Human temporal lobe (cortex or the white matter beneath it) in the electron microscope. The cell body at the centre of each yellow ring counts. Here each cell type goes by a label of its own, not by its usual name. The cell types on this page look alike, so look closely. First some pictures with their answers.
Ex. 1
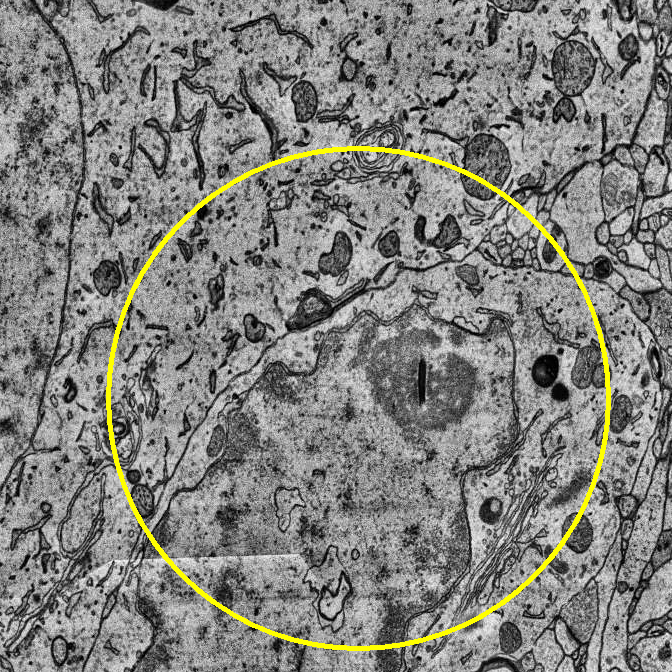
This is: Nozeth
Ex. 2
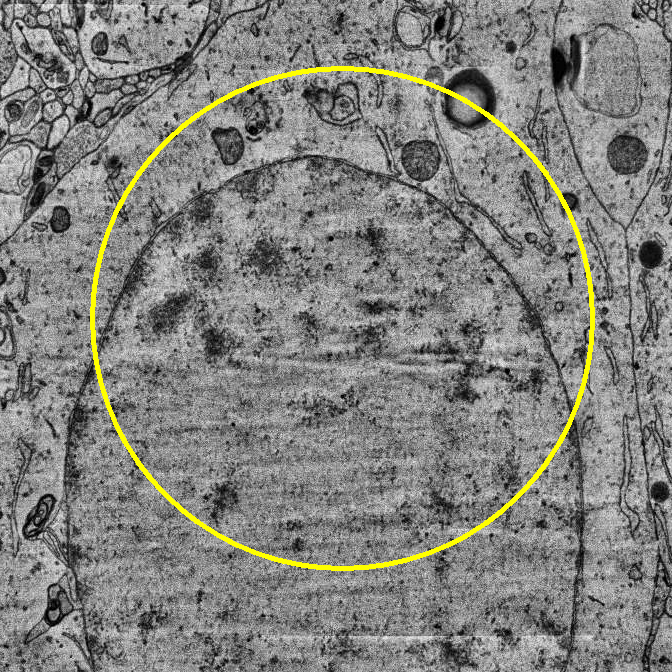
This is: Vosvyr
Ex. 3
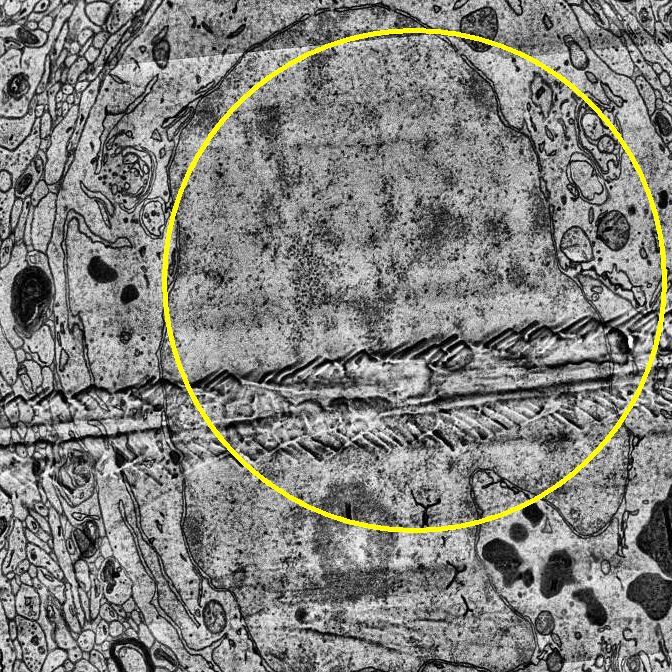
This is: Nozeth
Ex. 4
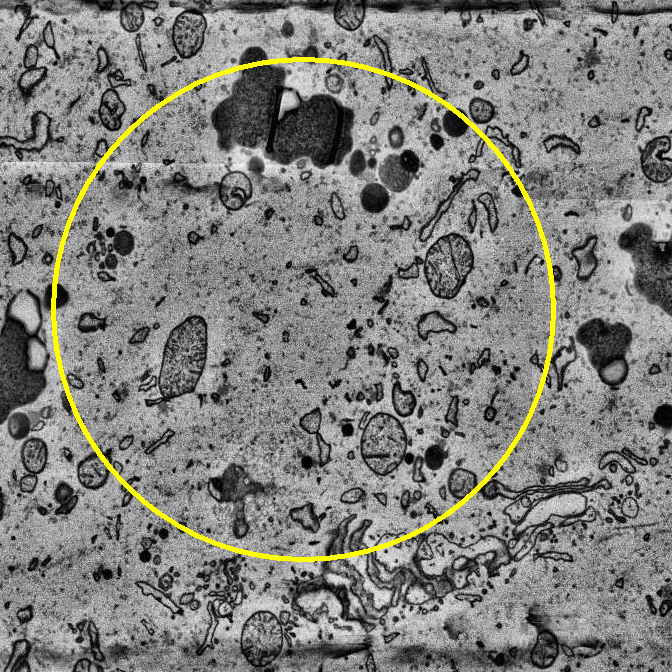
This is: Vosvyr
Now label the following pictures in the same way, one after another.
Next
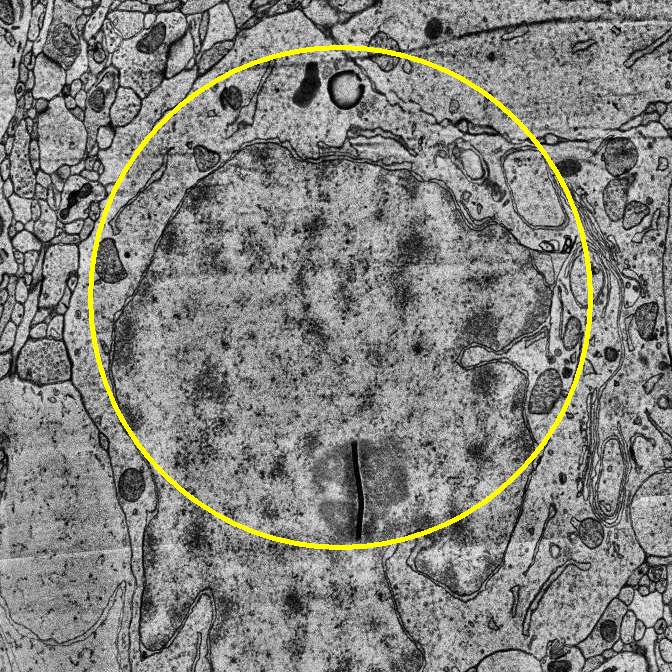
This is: Nozeth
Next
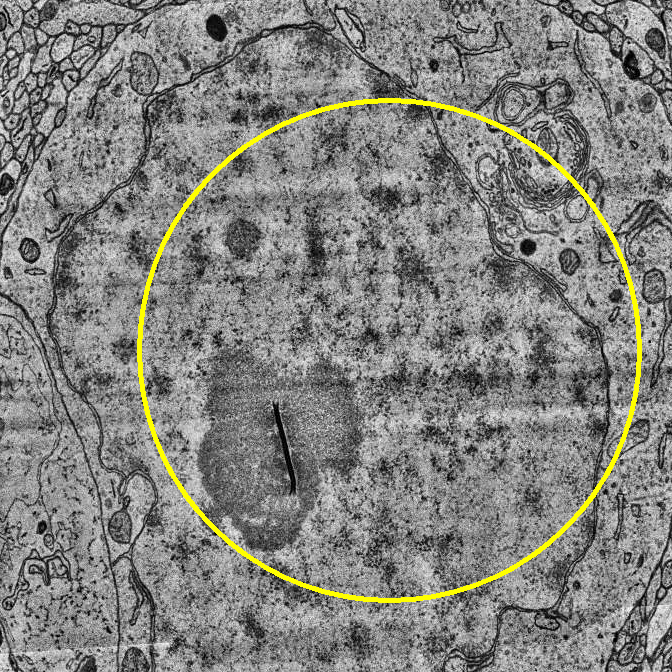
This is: Nozeth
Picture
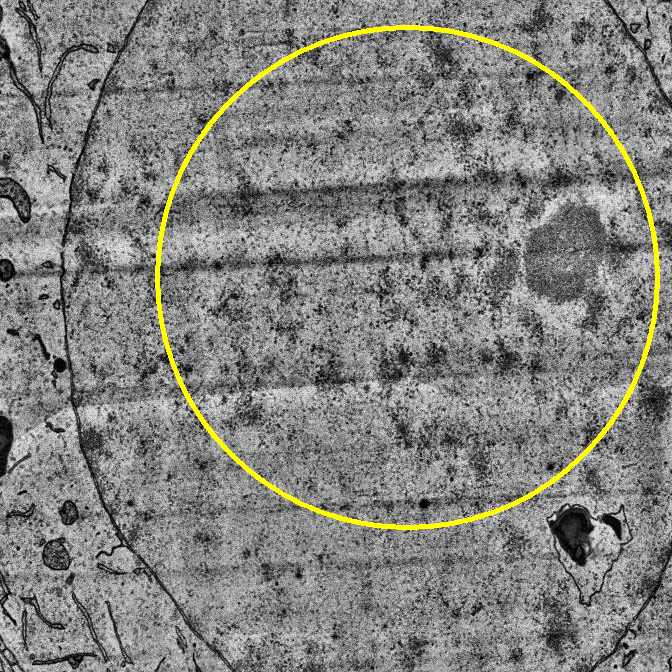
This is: Vosvyr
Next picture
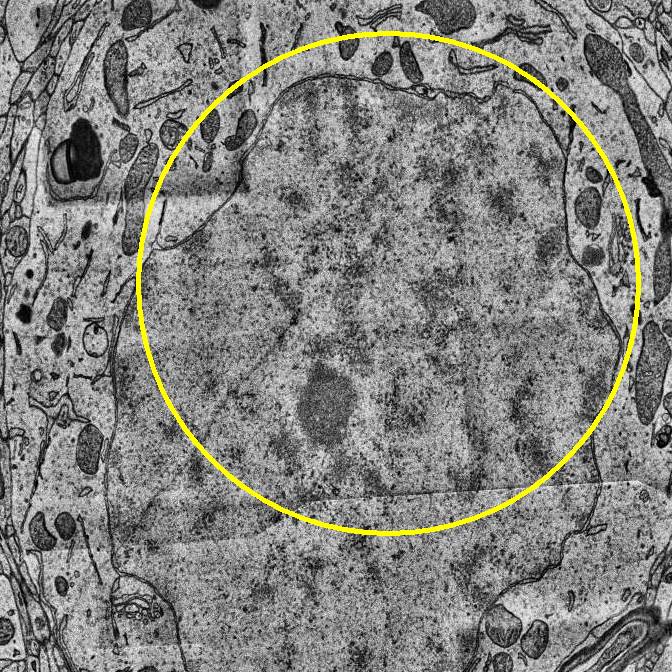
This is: Nozeth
